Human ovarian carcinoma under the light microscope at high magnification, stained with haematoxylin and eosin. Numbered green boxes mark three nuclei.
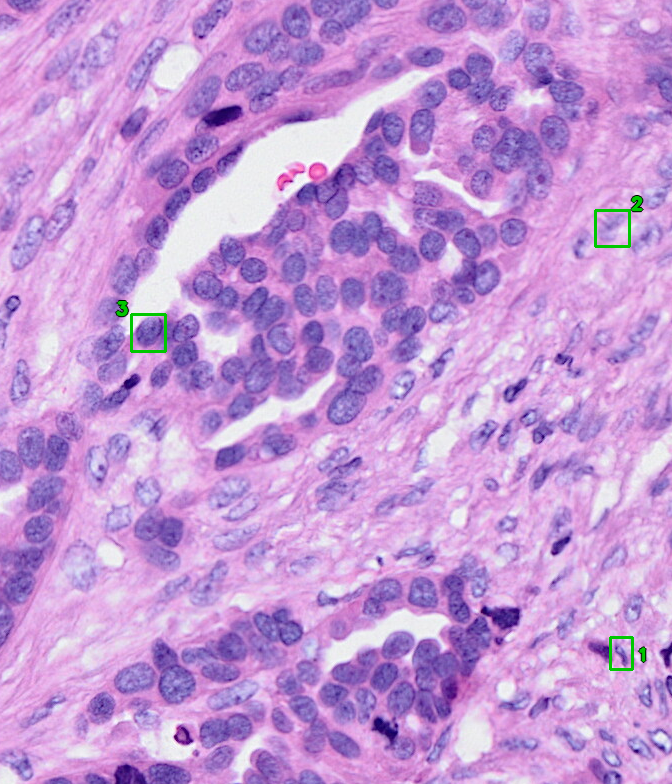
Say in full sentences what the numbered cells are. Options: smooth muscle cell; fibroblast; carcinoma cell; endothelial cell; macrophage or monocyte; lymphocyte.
Cell 1 is a fibroblast, cell 2 is a fibroblast and cell 3 is a carcinoma cell.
